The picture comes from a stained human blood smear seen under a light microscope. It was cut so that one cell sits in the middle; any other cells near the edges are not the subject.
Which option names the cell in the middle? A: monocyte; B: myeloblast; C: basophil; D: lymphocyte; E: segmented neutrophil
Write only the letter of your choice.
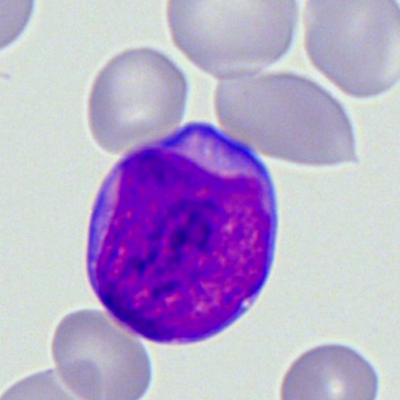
B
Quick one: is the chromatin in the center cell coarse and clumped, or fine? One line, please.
The chromatin remains finely textured, with no coarse clumps to speak of.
